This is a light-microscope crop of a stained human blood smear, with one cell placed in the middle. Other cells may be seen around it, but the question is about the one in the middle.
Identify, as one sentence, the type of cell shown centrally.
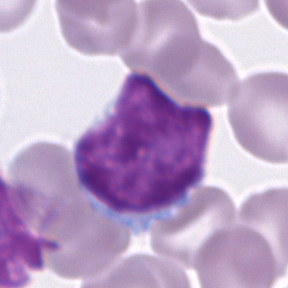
Where the crop is centred, there is a typical lymphocyte.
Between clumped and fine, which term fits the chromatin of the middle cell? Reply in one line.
Coarse clumps are absent, and the chromatin is fine throughout.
